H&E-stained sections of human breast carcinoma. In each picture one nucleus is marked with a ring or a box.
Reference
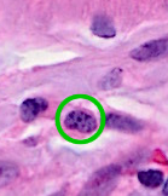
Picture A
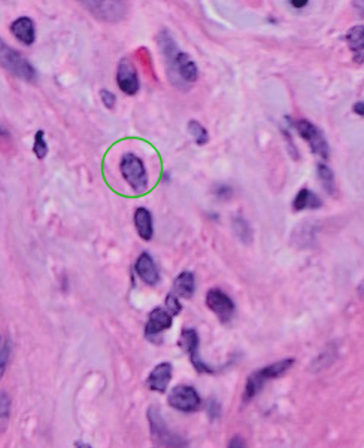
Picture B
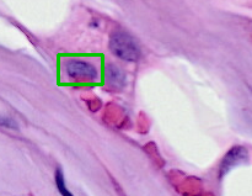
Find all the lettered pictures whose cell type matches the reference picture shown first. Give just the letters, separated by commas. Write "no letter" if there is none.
A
